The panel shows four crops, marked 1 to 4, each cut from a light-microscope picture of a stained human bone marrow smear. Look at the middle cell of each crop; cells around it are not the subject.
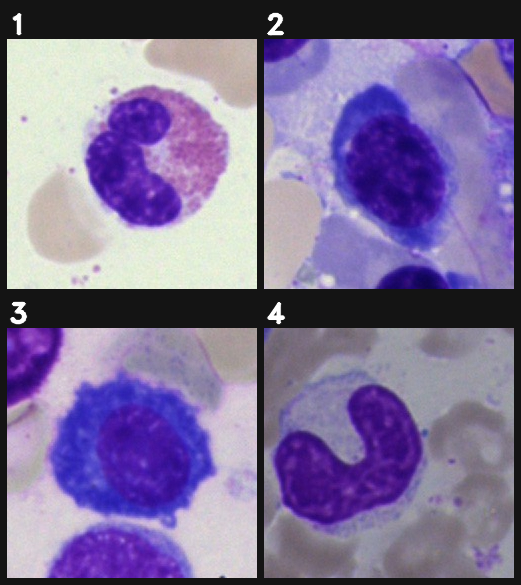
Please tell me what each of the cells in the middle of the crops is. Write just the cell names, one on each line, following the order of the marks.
basophil
erythroblast
plasma cell
band neutrophil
